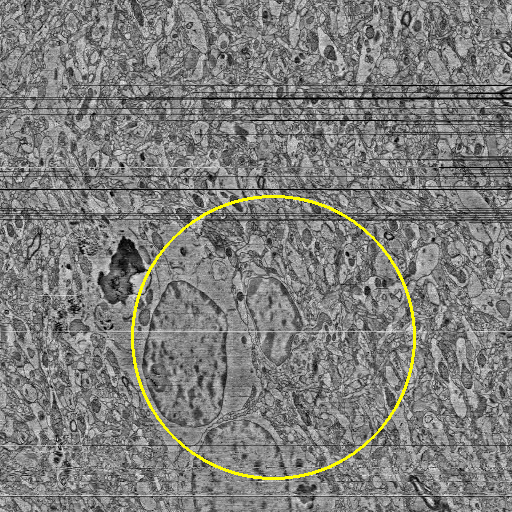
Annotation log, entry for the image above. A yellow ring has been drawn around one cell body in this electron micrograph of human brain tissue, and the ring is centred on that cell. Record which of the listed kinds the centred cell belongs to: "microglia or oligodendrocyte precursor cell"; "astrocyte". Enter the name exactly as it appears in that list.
microglia or oligodendrocyte precursor cell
